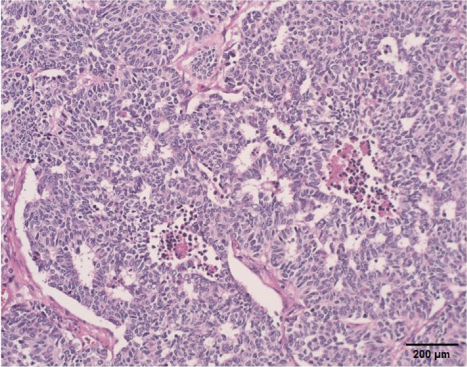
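This is a carcinoma made of crowded sheets of large neoplastic cells. The nuclei are enlarged, dark and oval to irregular, with little cytoplasm between them, so the tissue looks densely blue-purple. The cells form solid nests interrupted by small gland-like or cleft-like spaces and by thin pink fibrovascular septa with vessels. Some of the small spaces are filled with pink debris and dark nuclear fragments, consistent with foci of necrosis.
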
